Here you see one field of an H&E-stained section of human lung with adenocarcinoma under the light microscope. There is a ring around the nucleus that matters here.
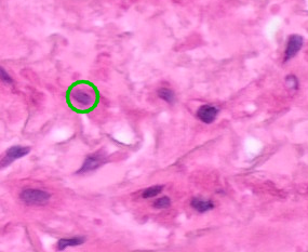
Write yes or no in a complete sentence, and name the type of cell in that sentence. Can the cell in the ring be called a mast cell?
No, in this tissue section, the cell in the ring is not a mast cell but a smooth muscle cell or pericyte.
